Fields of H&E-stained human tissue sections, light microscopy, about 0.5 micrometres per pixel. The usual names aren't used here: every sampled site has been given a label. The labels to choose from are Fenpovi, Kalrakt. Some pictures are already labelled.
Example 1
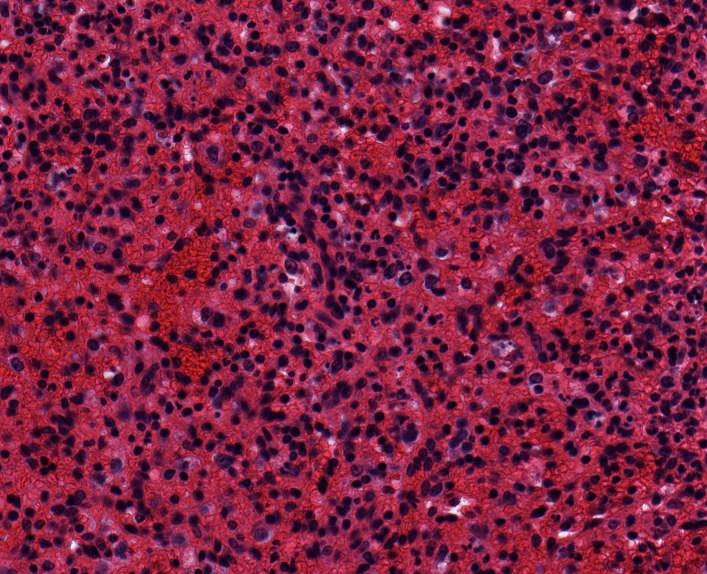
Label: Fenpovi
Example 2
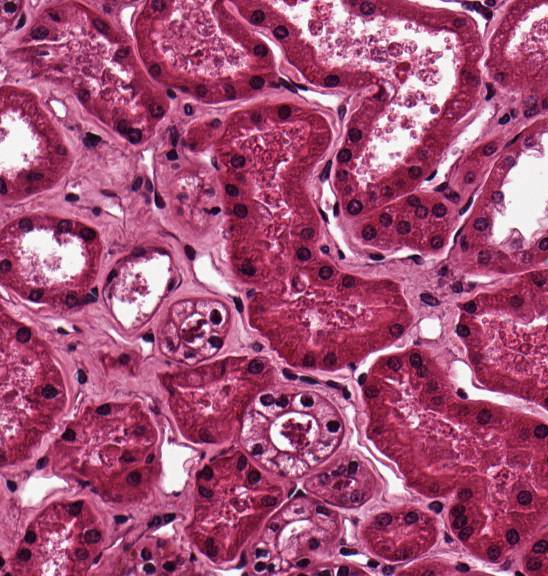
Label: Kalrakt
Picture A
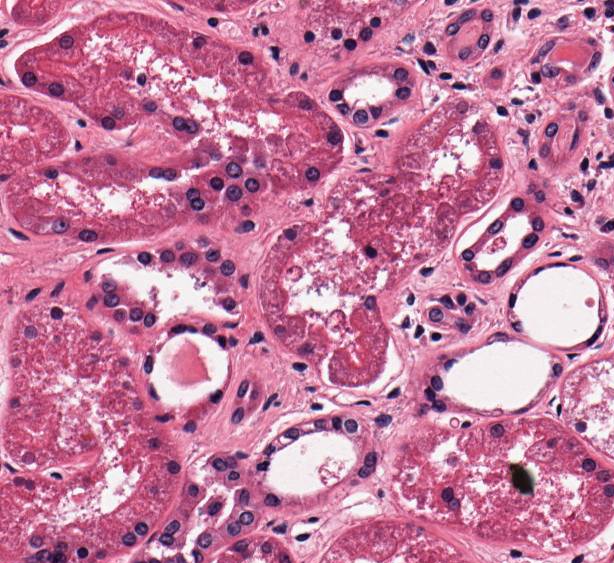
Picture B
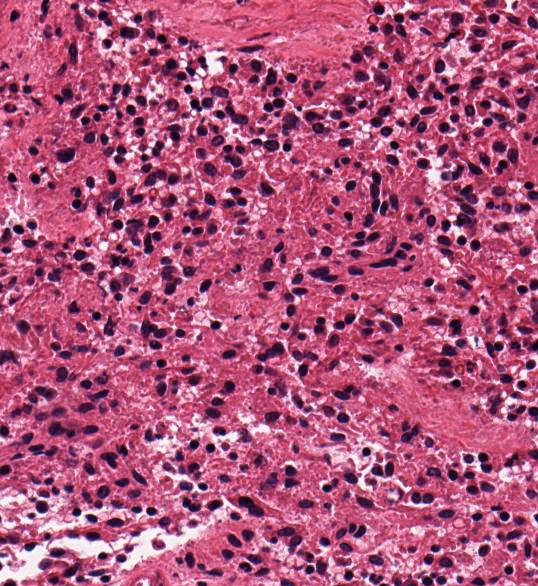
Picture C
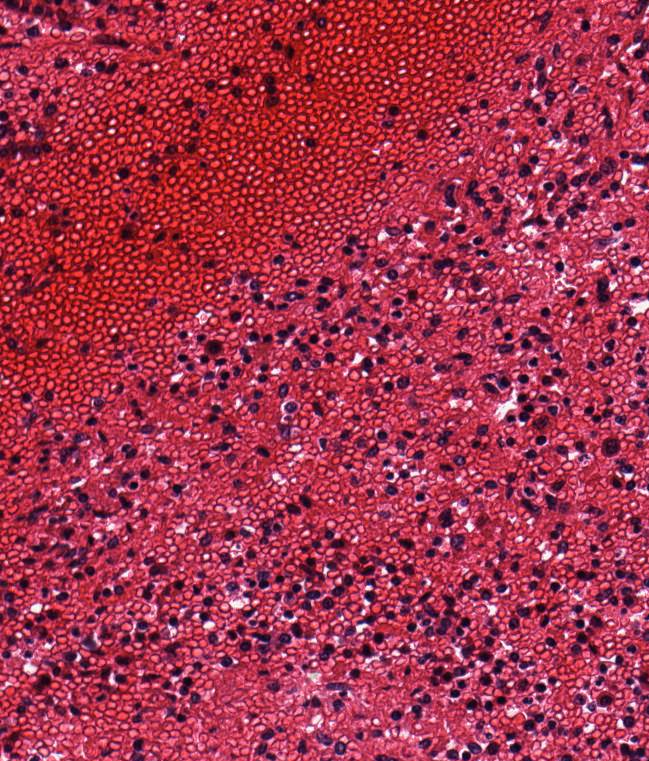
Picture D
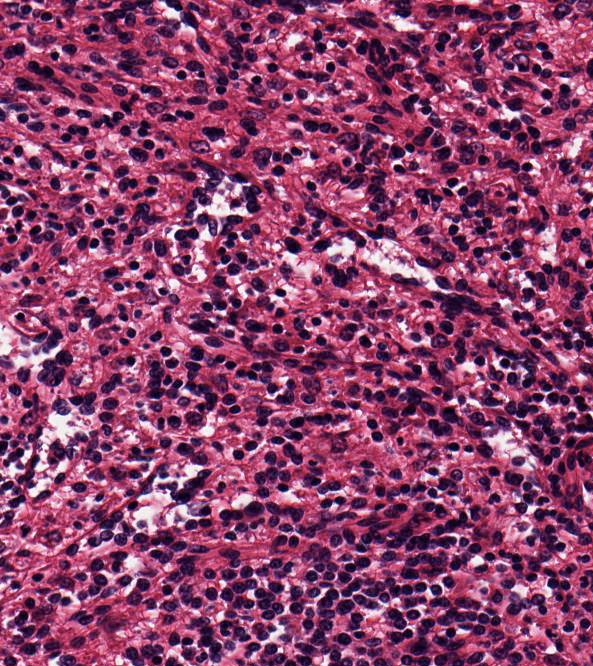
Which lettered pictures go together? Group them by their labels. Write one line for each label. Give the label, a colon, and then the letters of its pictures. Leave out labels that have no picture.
Fenpovi: B, C, D
Kalrakt: A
